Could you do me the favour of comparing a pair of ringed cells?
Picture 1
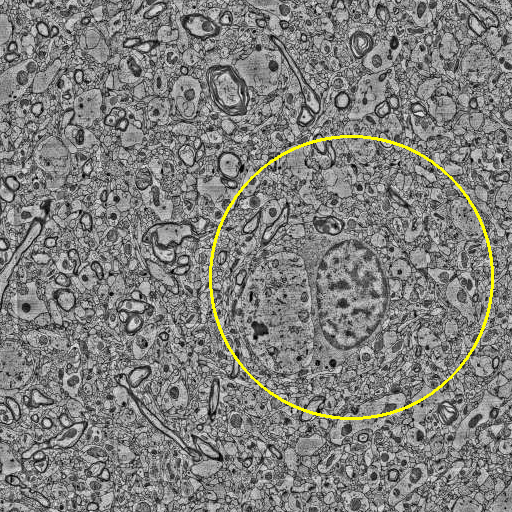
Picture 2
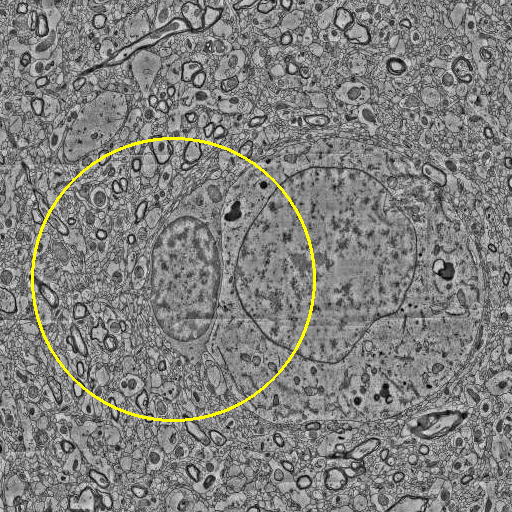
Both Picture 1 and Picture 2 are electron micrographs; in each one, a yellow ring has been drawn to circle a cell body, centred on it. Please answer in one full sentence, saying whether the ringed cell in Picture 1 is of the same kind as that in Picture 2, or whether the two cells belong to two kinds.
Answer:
The ringed cell in Picture 1 is of the same kind as that in Picture 2.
